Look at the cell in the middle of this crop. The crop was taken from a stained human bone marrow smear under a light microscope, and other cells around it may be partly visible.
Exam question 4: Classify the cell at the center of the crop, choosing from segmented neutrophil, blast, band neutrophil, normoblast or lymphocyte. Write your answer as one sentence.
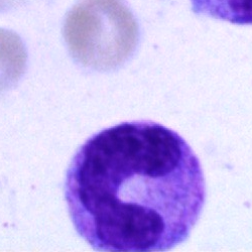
This crop has a band neutrophil at its centre.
